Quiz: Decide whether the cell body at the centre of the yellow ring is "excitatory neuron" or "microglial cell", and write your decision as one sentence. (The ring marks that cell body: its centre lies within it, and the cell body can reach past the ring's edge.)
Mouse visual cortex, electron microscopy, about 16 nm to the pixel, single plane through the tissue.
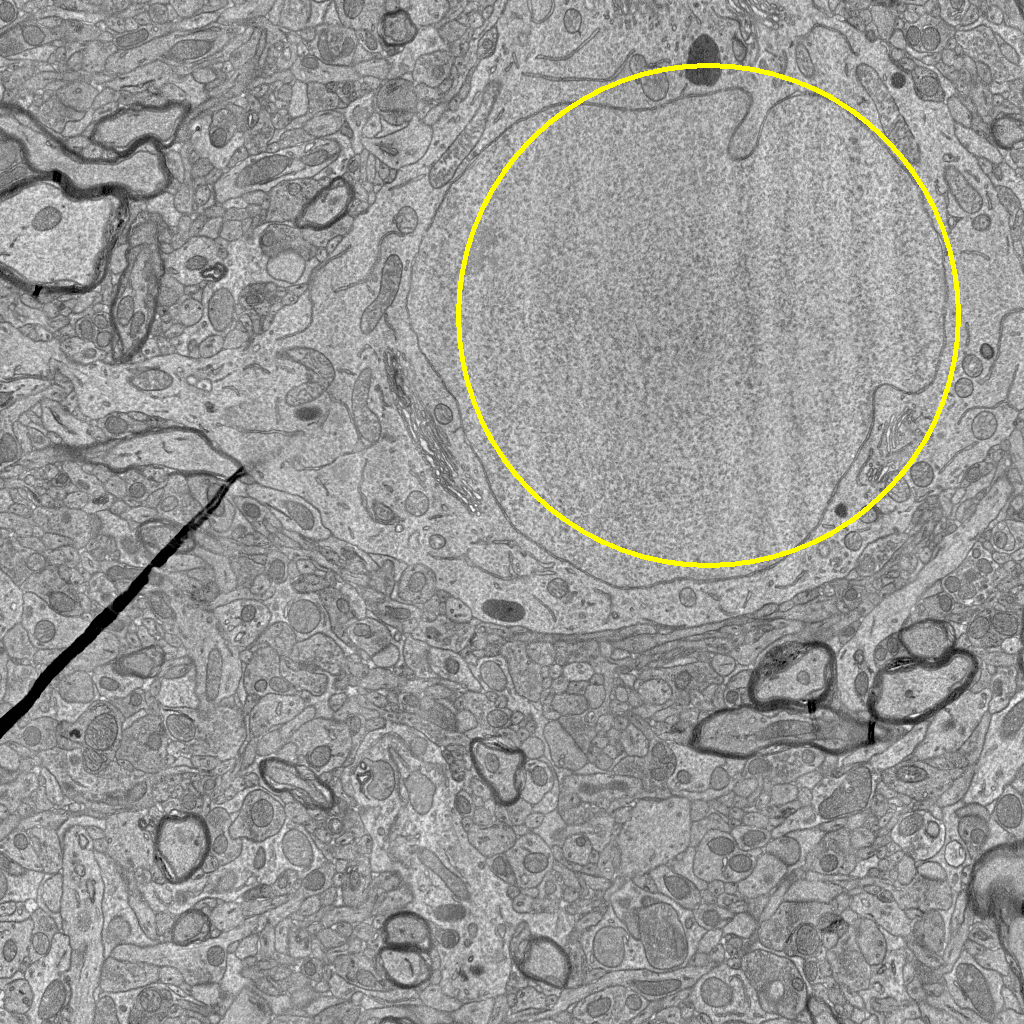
The cell holding the ring's centre is an excitatory neuron.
